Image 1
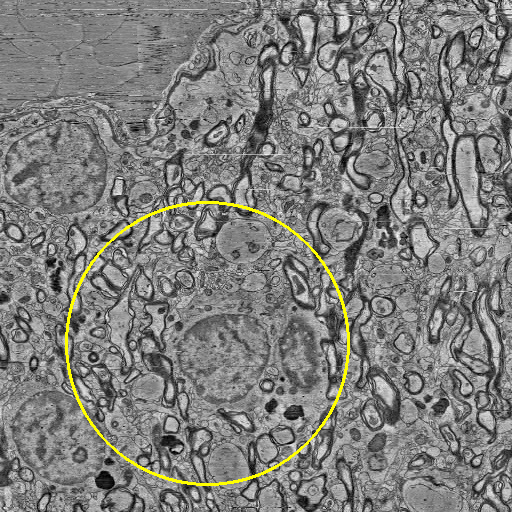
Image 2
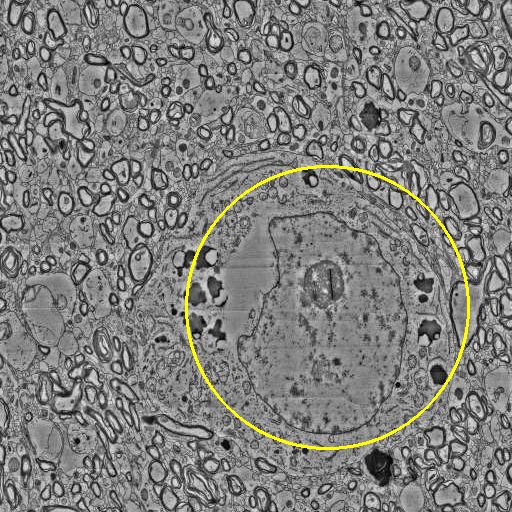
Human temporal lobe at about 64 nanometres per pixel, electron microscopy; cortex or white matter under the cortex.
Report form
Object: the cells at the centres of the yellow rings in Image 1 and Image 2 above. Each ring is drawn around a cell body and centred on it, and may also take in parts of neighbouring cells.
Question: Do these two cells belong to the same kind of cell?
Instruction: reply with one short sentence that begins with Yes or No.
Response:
No, they belong to two kinds of cell.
